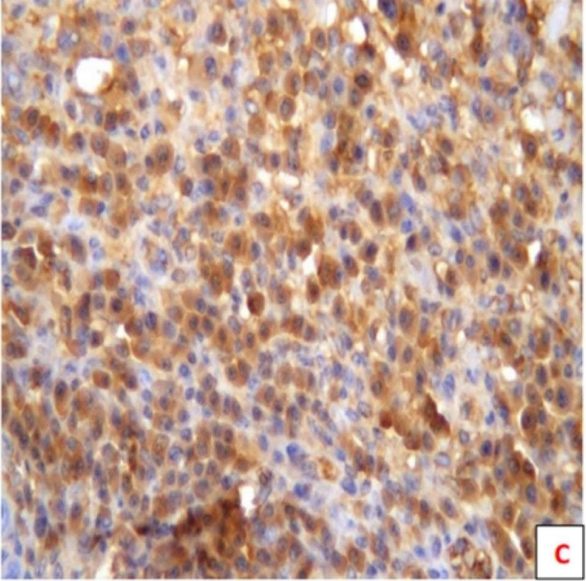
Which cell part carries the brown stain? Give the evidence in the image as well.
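Cytoplasmic. The brown colour fills the cell bodies around the nuclei. Many nuclei remain blue and unstained within brown cells.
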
